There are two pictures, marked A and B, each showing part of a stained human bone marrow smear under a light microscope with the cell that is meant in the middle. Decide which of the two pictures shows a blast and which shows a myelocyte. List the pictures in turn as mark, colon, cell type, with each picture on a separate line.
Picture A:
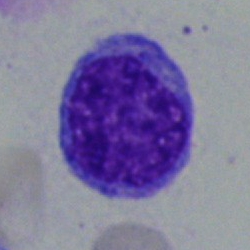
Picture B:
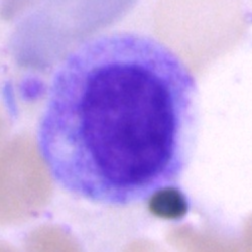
A: blast
B: myelocyte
